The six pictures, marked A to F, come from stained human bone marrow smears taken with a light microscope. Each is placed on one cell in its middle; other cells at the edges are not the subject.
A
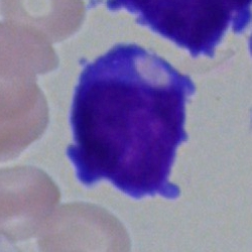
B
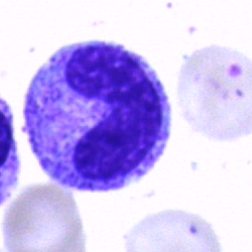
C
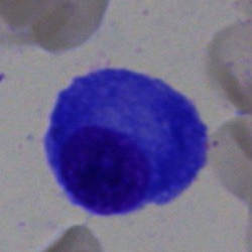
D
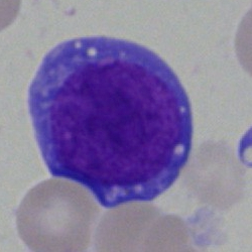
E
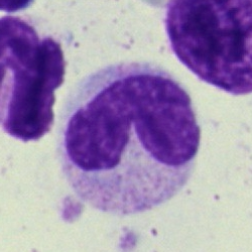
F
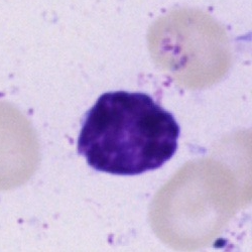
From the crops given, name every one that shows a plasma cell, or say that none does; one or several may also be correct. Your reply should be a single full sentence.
It is crop C that shows a plasma cell, and no other.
